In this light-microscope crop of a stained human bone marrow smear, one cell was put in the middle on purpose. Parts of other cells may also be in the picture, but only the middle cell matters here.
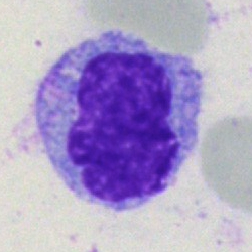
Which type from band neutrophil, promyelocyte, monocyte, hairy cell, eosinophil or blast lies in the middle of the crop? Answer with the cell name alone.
monocyte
